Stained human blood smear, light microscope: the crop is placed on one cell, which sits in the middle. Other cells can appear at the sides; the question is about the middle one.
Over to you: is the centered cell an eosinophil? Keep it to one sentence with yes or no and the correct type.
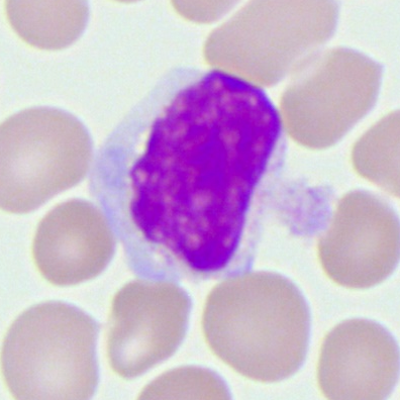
No, it is a monocyte that sits in the middle, not an eosinophil.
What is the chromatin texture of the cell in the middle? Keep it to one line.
Thanks for asking; the chromatin is coarsely clumped.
